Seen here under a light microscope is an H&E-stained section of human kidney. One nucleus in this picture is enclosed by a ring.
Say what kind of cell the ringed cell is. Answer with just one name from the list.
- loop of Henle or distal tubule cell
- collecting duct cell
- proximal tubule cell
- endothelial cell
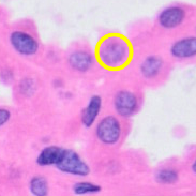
loop of Henle or distal tubule cell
